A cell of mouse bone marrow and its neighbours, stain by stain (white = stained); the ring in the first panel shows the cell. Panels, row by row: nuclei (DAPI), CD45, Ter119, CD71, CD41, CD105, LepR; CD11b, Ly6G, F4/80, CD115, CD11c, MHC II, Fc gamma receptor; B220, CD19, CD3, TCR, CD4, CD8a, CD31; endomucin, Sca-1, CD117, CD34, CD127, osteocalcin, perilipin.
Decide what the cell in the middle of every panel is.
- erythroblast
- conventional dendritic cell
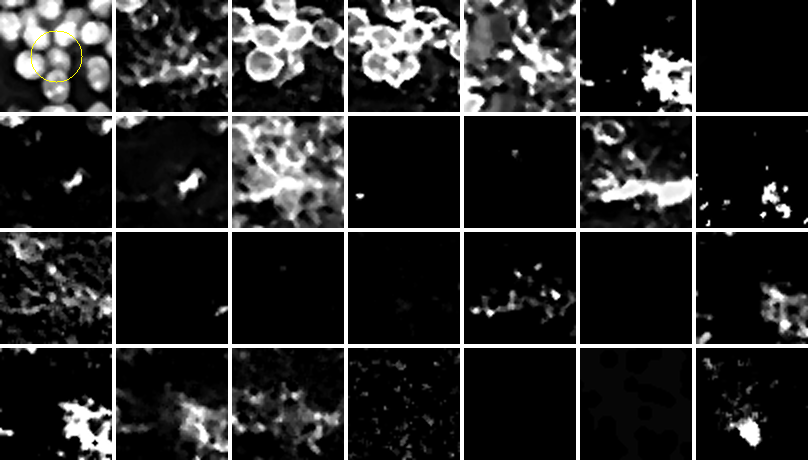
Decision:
erythroblast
